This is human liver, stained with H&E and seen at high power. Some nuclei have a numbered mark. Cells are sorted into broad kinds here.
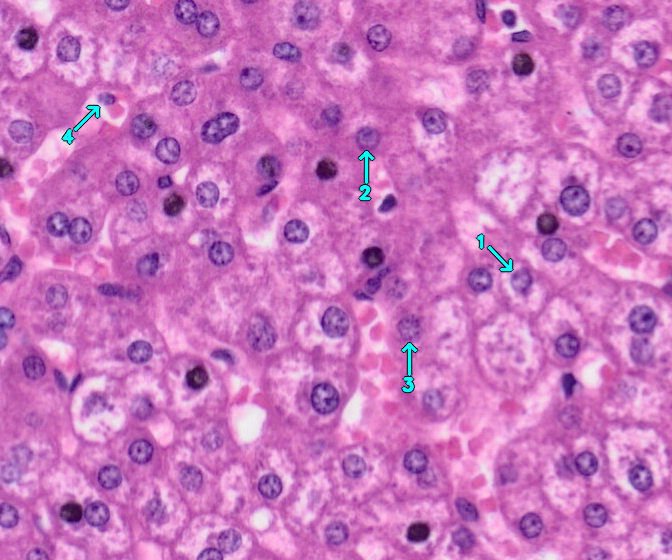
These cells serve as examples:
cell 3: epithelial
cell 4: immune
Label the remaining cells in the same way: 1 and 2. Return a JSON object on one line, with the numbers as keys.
{"1": "epithelial", "2": "epithelial"}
